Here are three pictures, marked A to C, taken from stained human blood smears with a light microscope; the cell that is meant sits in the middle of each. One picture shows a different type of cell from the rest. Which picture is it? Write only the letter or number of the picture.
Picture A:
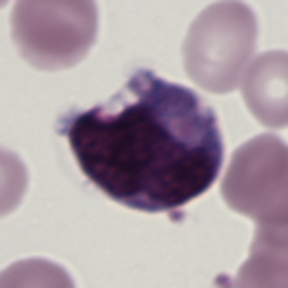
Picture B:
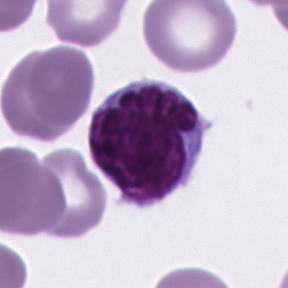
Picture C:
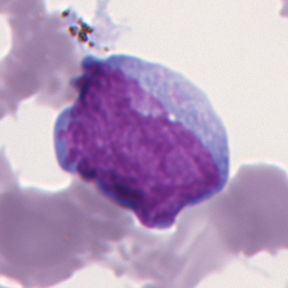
A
